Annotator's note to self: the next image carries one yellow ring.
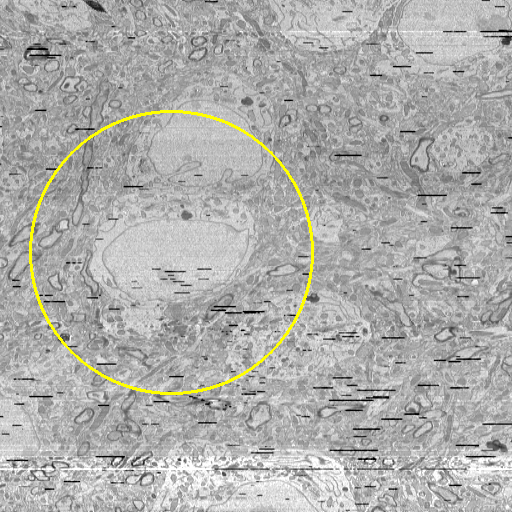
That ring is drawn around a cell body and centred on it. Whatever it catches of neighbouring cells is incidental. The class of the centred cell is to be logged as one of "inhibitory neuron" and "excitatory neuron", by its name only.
excitatory neuron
